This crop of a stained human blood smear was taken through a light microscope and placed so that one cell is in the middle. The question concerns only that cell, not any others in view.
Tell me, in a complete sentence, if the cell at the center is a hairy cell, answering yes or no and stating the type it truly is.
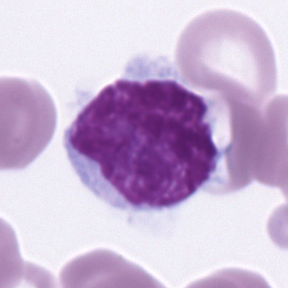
Yes, the cell in the middle of the view is a hairy cell.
